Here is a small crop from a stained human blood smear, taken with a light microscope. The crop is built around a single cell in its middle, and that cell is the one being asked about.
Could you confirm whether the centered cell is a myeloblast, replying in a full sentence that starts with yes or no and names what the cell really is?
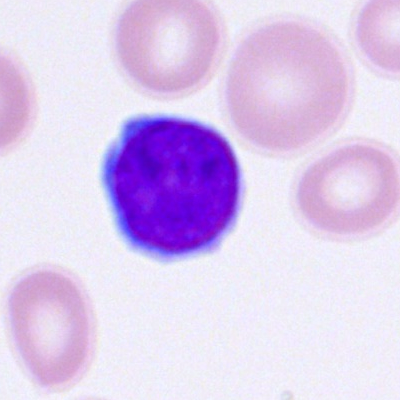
No, the central cell in this crop is a lymphocyte and not a myeloblast.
